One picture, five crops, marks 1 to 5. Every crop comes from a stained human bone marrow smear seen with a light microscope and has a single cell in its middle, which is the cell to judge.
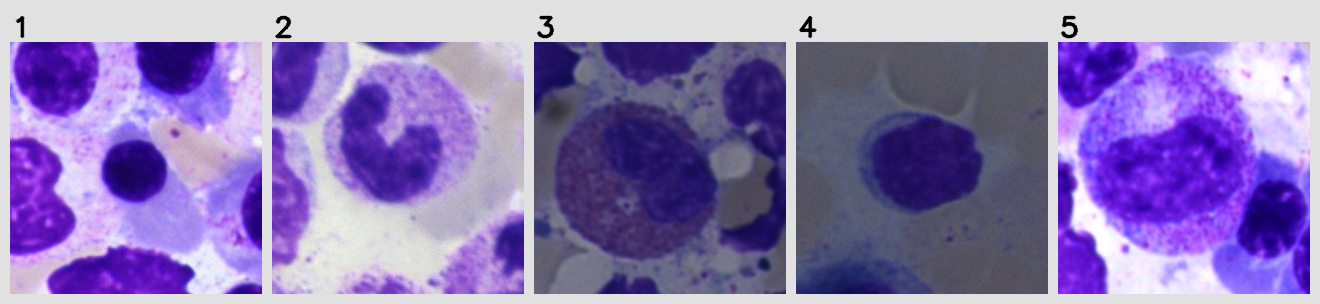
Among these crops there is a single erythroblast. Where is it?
1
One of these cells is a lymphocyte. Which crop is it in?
4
